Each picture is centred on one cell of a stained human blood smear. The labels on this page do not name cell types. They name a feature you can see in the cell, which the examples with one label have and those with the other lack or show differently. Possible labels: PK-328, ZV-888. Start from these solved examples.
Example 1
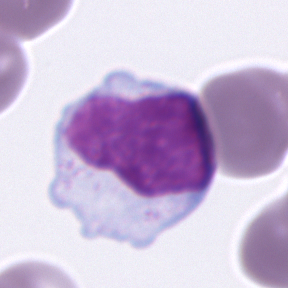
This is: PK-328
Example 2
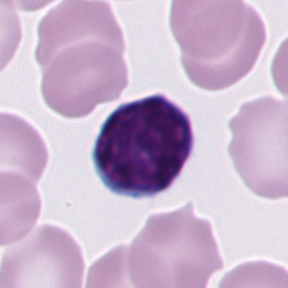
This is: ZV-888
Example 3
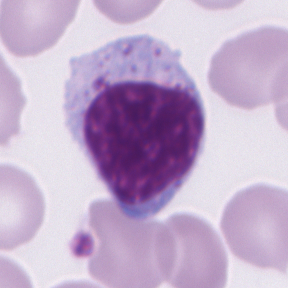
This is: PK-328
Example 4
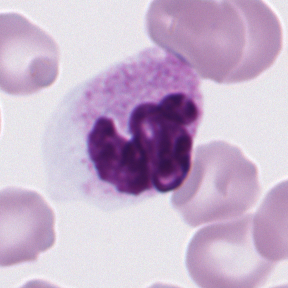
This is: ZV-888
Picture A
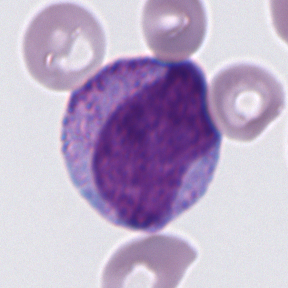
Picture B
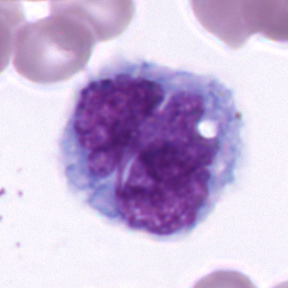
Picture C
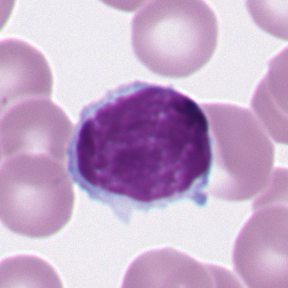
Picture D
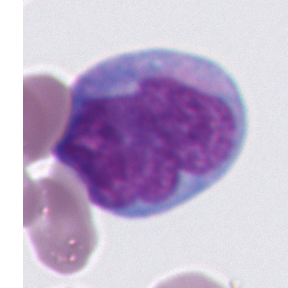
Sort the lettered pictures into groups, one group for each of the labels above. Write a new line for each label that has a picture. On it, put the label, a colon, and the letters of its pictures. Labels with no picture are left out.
PK-328: C
ZV-888: A, B, D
